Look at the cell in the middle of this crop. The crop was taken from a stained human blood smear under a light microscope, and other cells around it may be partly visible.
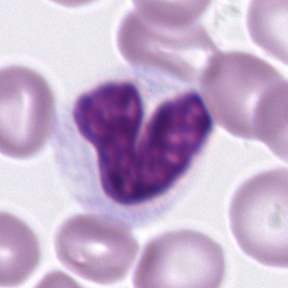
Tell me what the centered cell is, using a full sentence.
As for the cell in the middle, it is a band neutrophil.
